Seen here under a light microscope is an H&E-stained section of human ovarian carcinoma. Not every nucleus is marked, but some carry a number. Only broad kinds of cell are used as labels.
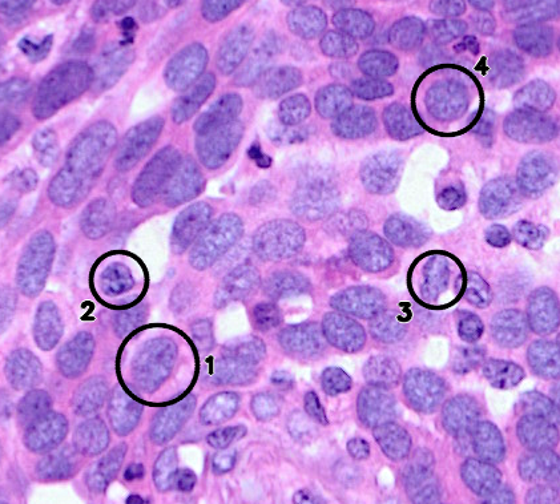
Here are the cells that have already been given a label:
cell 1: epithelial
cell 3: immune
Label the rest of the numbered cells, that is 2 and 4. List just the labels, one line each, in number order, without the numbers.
immune
epithelial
